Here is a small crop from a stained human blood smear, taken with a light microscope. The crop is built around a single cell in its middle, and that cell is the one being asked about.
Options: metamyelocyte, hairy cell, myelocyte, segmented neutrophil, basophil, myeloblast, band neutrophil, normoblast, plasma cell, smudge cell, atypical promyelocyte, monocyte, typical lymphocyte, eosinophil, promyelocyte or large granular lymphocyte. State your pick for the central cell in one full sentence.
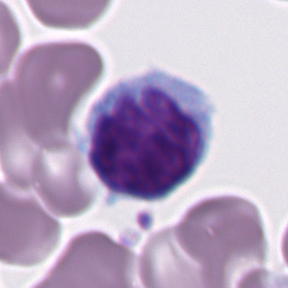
The cell at the central position in this crop is a monocyte.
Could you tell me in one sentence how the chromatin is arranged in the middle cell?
Chromatin in the nucleus here is coarsely clumped.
